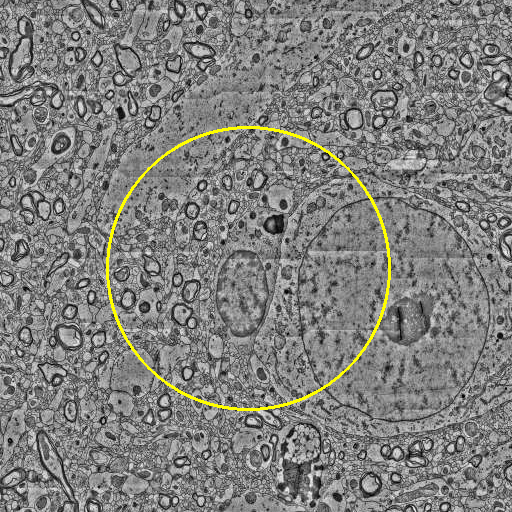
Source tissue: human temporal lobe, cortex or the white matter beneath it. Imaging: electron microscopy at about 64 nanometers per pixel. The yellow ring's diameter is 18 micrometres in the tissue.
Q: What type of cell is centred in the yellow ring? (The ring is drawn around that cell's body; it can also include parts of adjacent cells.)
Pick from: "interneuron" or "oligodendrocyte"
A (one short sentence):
The yellow ring is centred on an oligodendrocyte.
